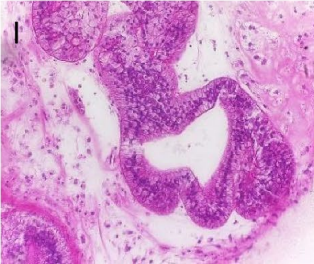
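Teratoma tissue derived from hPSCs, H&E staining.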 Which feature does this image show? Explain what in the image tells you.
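Epithelial structures. A folded tube of closely packed cells lines an open space. The cells form a continuous layer with purple nuclei. Pale loose tissue surrounds the tube.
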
